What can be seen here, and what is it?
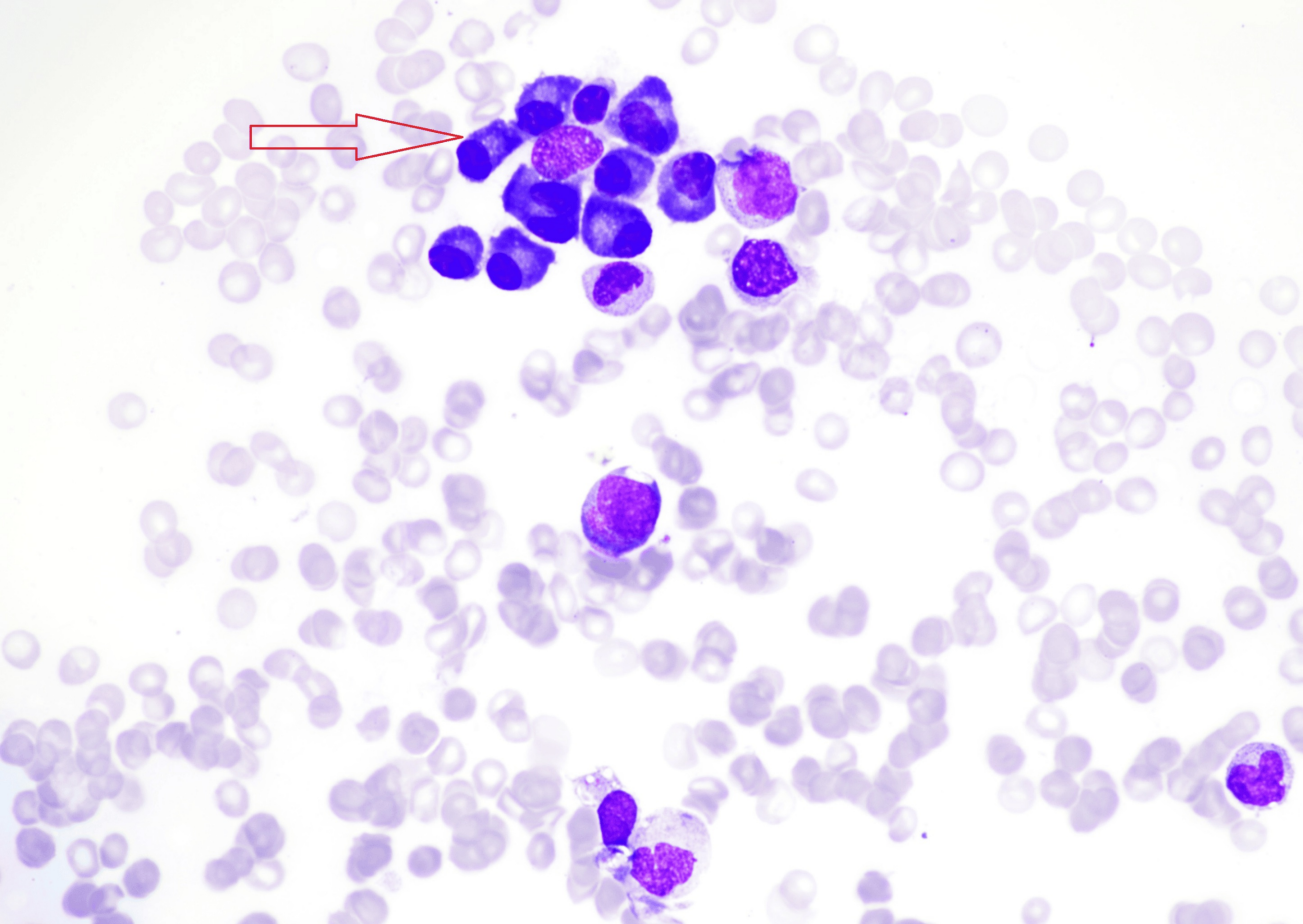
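This bone marrow aspirate smear shows a cluster of plasma cells near the top of the field. They have round, dark-staining nuclei set off to one side of the cell and abundant, intensely blue cytoplasm. Mixed in and around the cluster are granulated cells with pinkish, finely granular cytoplasm, and a few other nucleated cells lie singly across the field, including one with an indented, lobed nucleus at the lower right. The background is made up of many pale red cells spread thinly across the slide.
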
